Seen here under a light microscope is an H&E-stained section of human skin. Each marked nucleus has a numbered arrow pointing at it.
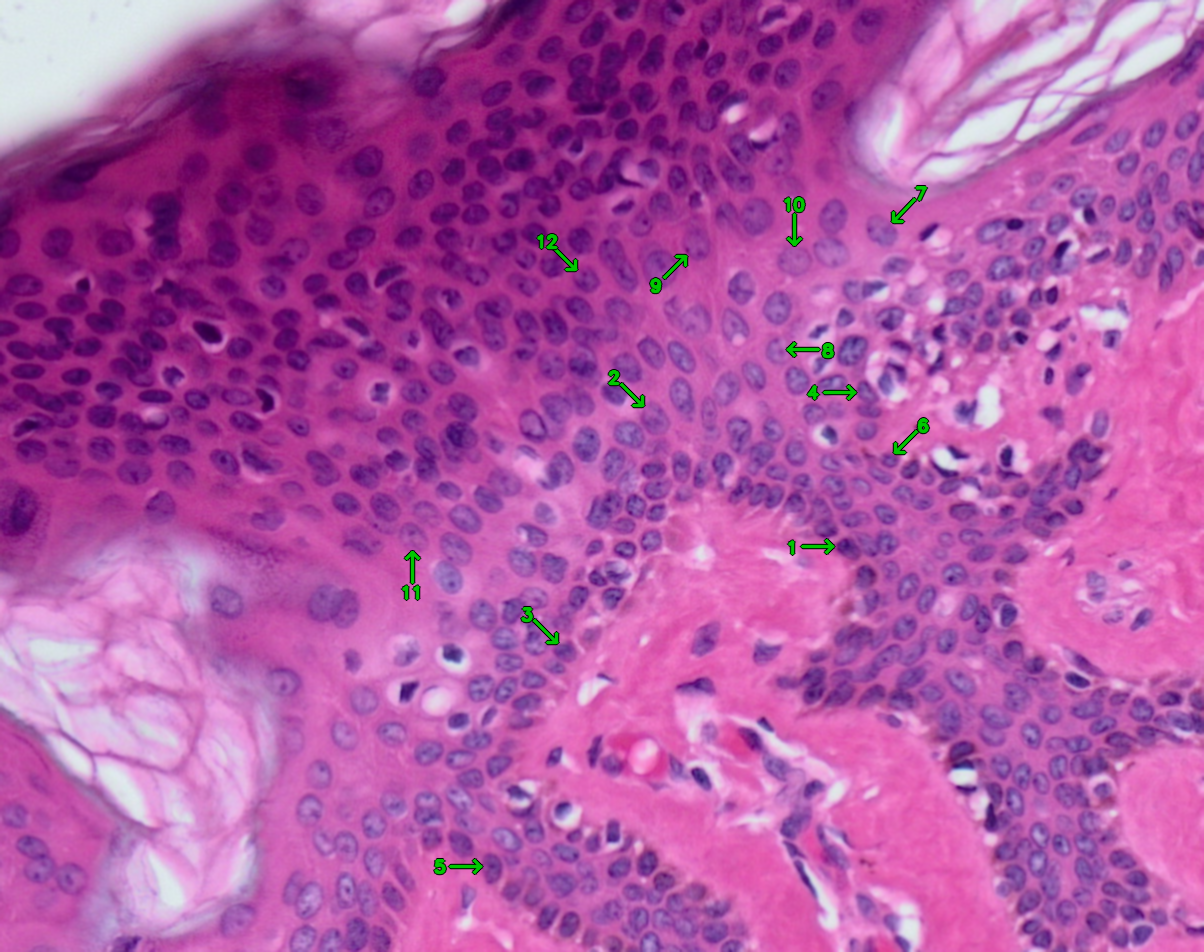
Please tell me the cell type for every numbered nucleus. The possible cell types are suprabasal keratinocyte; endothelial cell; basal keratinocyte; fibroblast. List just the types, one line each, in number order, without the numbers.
basal keratinocyte
suprabasal keratinocyte
basal keratinocyte
basal keratinocyte
basal keratinocyte
basal keratinocyte
suprabasal keratinocyte
suprabasal keratinocyte
suprabasal keratinocyte
suprabasal keratinocyte
suprabasal keratinocyte
suprabasal keratinocyte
